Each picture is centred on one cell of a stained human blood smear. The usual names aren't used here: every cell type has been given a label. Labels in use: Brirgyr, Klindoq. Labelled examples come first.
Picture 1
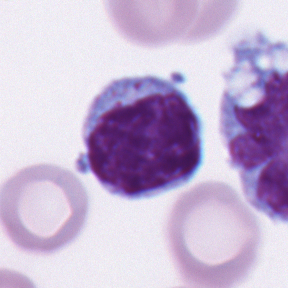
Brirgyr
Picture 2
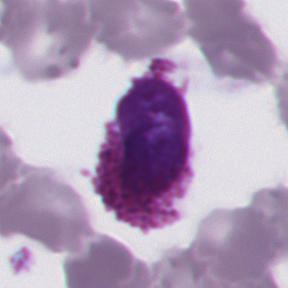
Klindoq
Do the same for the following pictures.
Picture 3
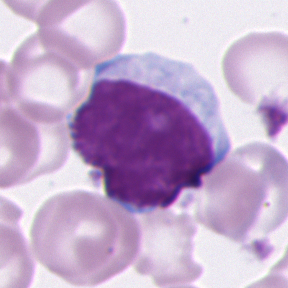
Brirgyr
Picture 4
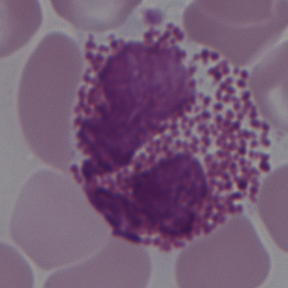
Klindoq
